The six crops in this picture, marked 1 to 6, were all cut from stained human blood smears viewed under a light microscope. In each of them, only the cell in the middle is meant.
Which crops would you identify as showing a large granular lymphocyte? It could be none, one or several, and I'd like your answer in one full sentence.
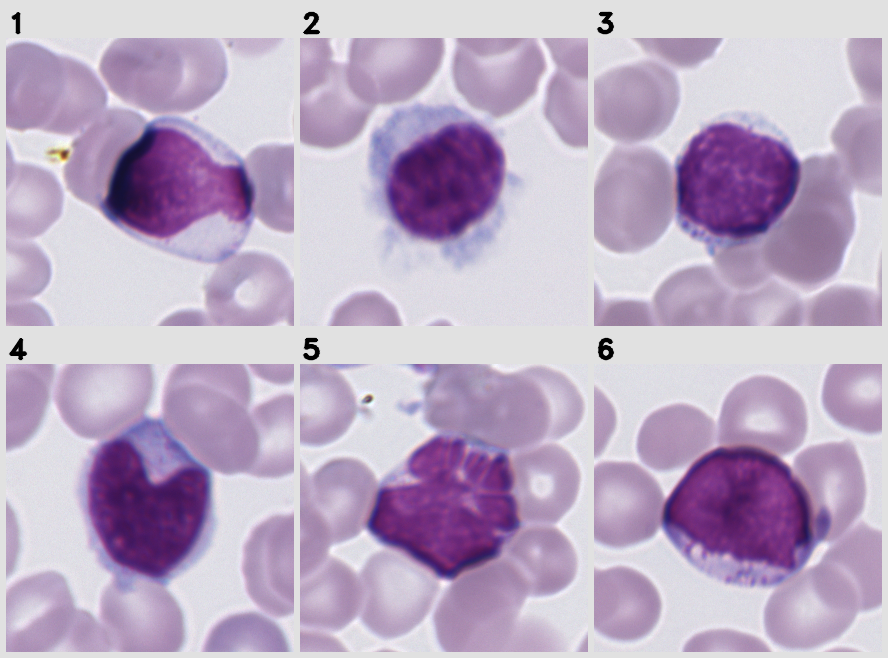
The crops 1, 3, 5 and 6 are those with large granular lymphocytes at the centre.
